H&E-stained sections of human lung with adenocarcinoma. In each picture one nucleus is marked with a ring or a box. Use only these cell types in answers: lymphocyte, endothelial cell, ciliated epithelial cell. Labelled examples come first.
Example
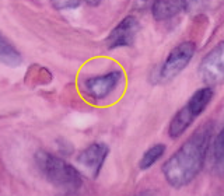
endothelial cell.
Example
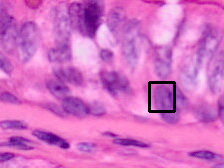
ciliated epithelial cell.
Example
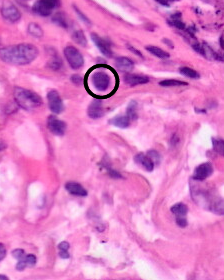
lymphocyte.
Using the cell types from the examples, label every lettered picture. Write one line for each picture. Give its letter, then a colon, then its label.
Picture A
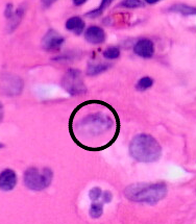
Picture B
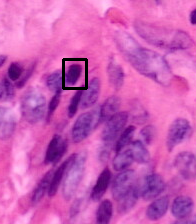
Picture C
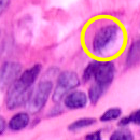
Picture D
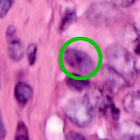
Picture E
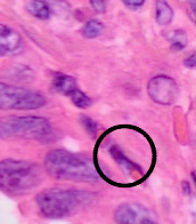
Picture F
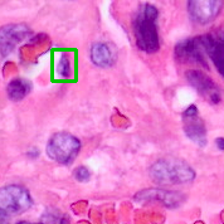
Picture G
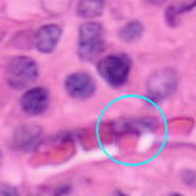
A: endothelial cell.
B: ciliated epithelial cell.
C: ciliated epithelial cell.
D: ciliated epithelial cell.
E: endothelial cell.
F: endothelial cell.
G: endothelial cell.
